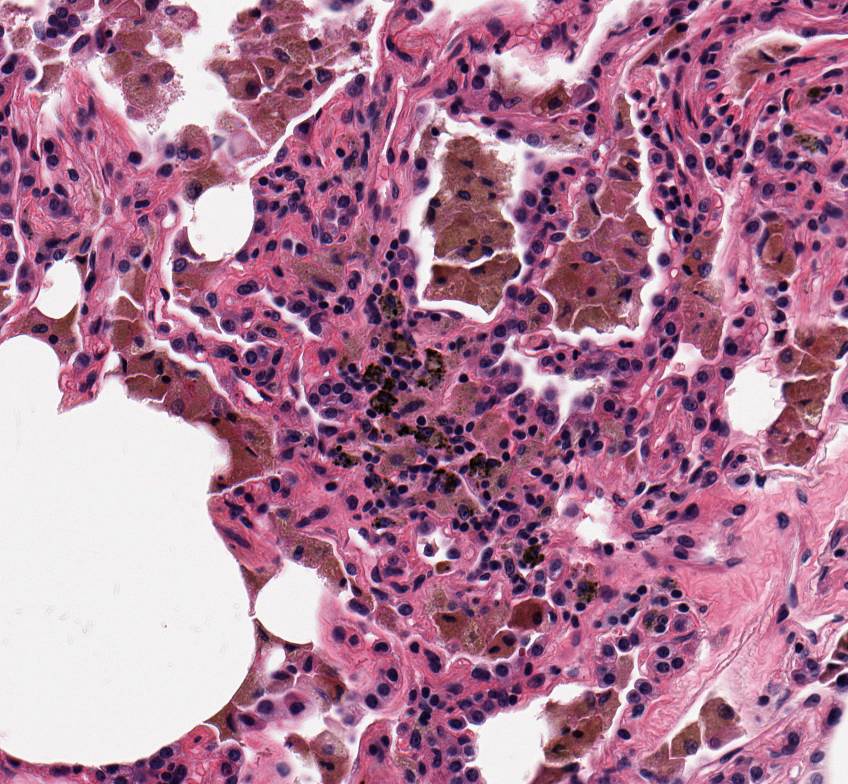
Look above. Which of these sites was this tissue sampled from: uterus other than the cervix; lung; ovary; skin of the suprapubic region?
lung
